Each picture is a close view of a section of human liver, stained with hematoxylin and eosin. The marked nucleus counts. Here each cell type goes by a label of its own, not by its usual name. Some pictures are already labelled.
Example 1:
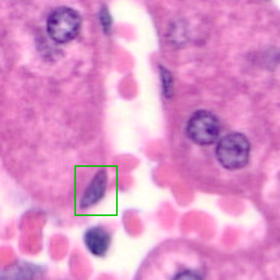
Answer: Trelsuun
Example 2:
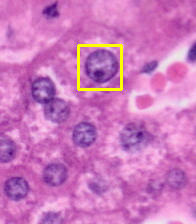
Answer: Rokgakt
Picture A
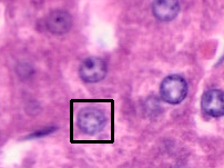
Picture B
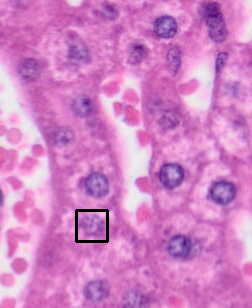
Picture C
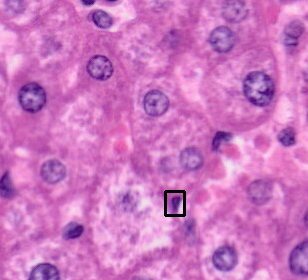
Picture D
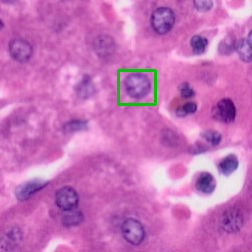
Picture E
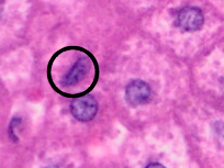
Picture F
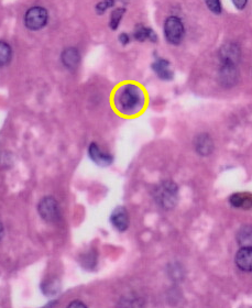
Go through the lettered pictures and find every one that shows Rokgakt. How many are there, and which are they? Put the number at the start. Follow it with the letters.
3, namely A, B, D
